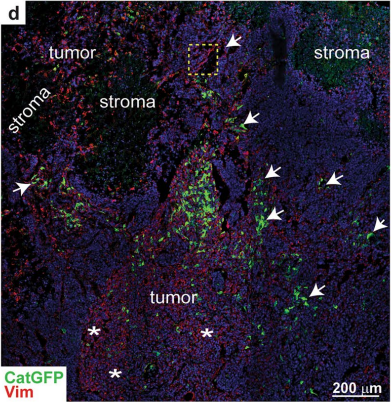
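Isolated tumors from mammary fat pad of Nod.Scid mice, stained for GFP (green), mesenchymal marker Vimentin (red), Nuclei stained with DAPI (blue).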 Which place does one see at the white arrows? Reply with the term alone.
Invasive front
